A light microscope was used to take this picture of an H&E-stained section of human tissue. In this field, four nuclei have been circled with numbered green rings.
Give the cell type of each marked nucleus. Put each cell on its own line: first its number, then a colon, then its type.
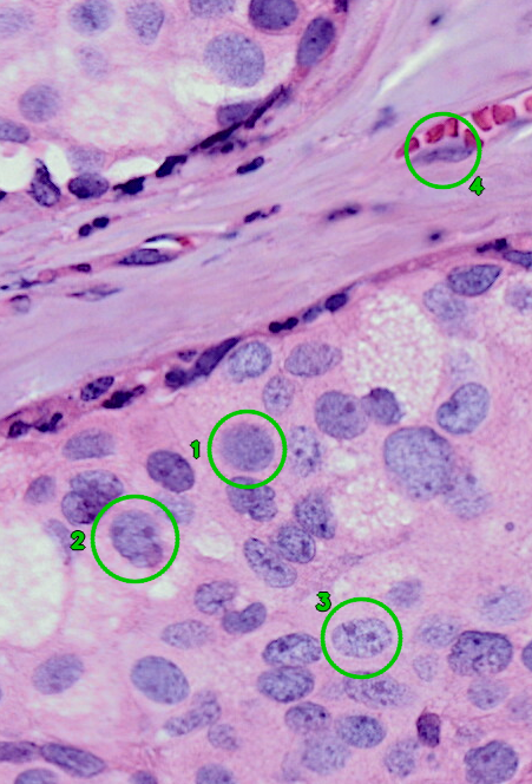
1: carcinoma cell
2: carcinoma cell
3: carcinoma cell
4: endothelial cell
